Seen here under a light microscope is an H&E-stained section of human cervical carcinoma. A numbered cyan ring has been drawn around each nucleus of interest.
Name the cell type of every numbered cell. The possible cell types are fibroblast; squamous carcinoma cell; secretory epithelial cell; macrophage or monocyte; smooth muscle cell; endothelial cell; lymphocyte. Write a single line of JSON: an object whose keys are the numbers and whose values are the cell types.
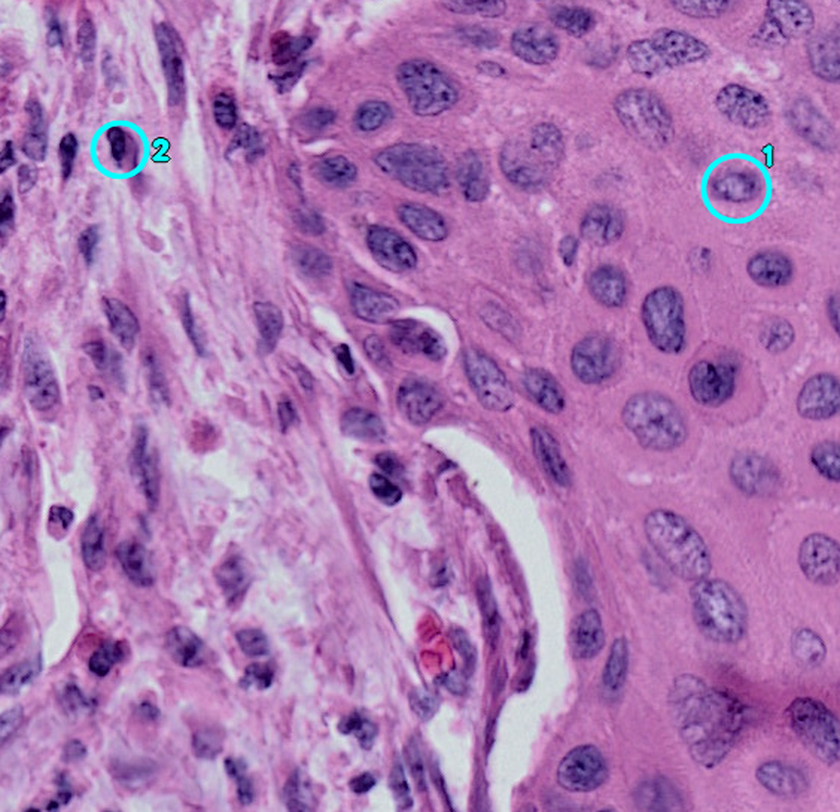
{"1": "squamous carcinoma cell", "2": "lymphocyte"}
